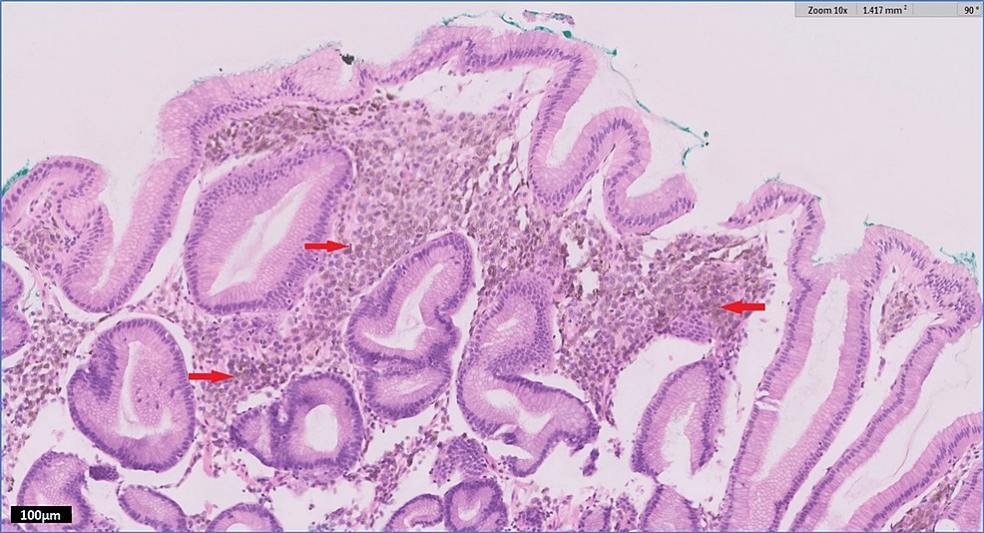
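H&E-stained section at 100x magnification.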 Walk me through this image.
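This is mucosa with surface and pit epithelium of tall columnar cells with pale, mucin-filled apical cytoplasm and basal, purple nuclei, forming folded pits seen in longitudinal and cross section. The superficial lamina propria between and around these pits is expanded by crowded aggregates of cells laden with brown granular pigment, which obscures much of their nuclear detail. The pits themselves keep a regular, orderly lining.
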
